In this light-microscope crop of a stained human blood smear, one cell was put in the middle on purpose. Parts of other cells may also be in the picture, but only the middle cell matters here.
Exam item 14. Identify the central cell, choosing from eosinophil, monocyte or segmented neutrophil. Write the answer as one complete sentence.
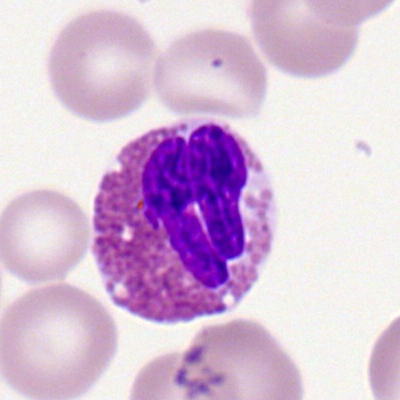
By classification, the middle cell of this crop is an eosinophil.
